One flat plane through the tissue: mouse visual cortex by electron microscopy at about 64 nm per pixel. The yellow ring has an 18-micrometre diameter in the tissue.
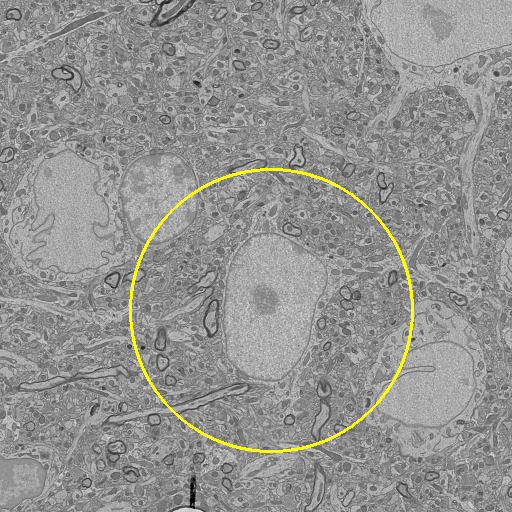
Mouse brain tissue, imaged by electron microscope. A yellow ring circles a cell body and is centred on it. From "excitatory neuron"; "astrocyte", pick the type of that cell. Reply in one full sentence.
The cell body at the centre of the yellow ring belongs to an astrocyte.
